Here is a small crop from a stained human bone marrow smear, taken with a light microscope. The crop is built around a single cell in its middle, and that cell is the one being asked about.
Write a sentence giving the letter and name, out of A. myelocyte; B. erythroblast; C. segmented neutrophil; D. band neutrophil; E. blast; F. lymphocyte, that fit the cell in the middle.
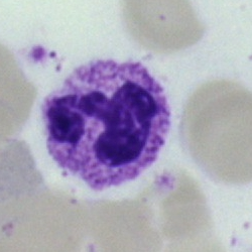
Option C is the correct option, with the middle cell being a segmented neutrophil.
